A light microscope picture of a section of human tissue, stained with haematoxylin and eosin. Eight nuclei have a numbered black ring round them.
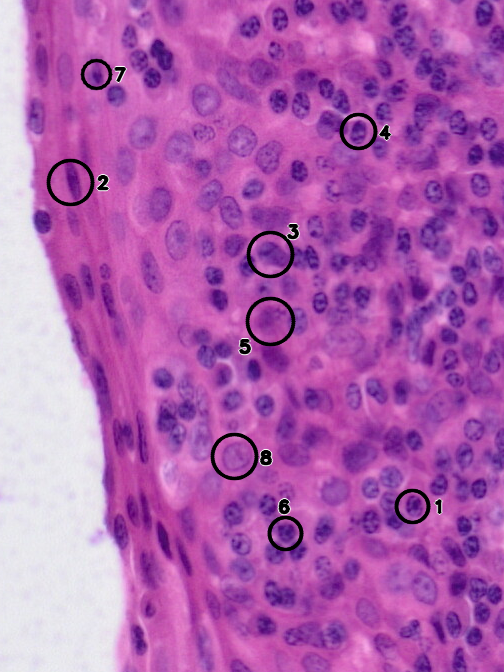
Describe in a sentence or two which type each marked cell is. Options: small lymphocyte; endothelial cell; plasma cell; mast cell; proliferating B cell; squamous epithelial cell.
Cells 1, 4 and 6 are plasma cells. Cells 2, 3, 5, 7 and 8 are squamous epithelial cells.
